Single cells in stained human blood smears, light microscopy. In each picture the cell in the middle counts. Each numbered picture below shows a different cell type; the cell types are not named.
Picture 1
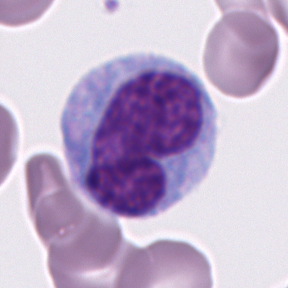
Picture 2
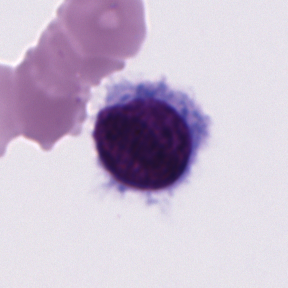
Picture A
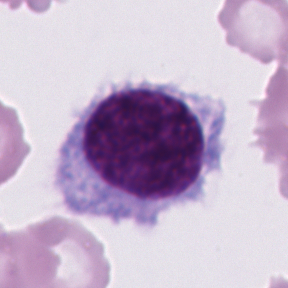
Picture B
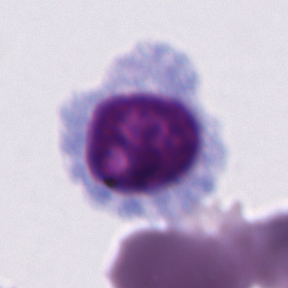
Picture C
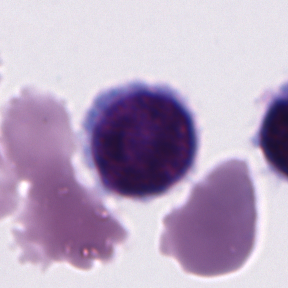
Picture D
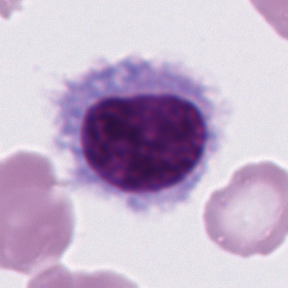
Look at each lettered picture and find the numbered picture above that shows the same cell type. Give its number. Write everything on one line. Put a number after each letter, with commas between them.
A 2, B 2, C 2, D 2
